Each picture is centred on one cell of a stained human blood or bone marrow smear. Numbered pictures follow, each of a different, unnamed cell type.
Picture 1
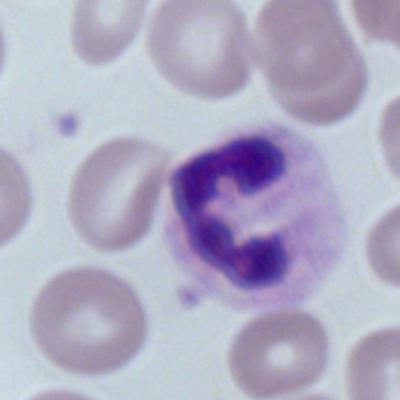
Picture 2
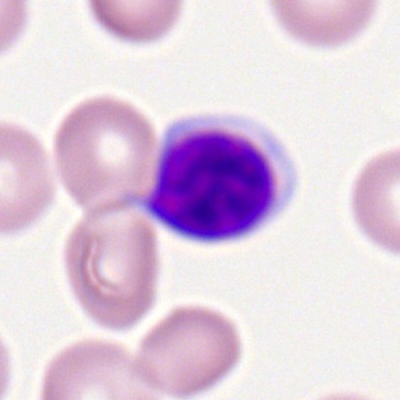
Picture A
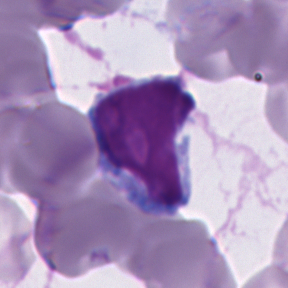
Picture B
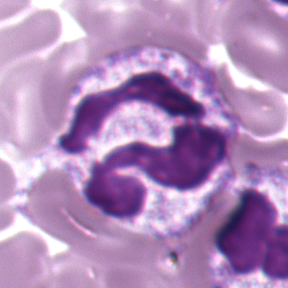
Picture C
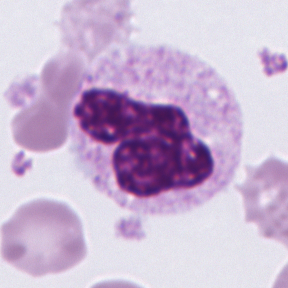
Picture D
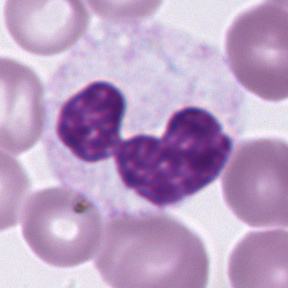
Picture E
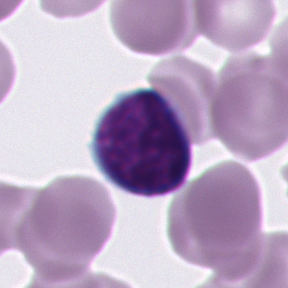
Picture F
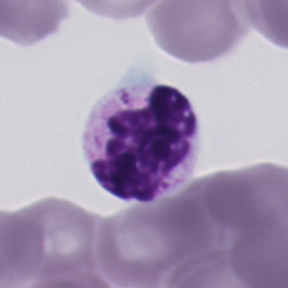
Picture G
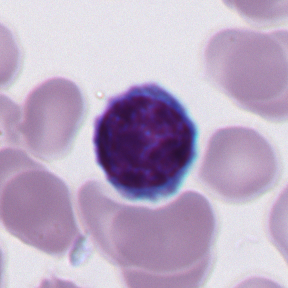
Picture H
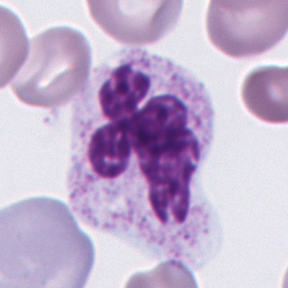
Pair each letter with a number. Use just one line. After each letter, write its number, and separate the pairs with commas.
A 2, B 1, C 1, D 1, E 2, F 1, G 2, H 1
